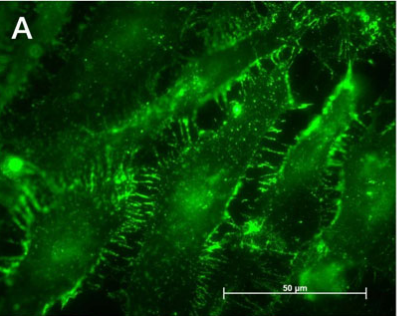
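These are elongated endothelial cells lying side by side, with faint green bodies and bright green edges. Along the borders between neighbouring cells, short green strands run across the gaps like the teeth of a comb, and small green dots are scattered over the surface.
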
